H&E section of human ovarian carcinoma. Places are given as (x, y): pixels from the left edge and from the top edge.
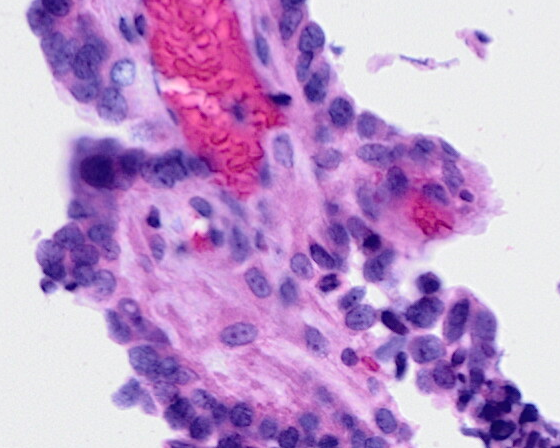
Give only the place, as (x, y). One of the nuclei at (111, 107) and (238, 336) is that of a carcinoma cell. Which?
(111, 107)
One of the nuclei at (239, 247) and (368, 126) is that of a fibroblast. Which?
(239, 247)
